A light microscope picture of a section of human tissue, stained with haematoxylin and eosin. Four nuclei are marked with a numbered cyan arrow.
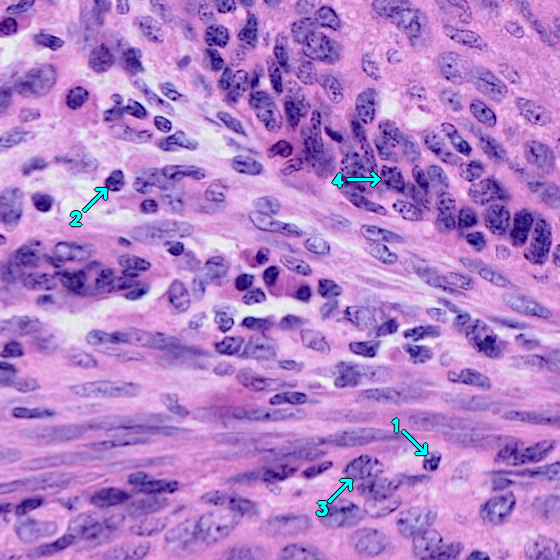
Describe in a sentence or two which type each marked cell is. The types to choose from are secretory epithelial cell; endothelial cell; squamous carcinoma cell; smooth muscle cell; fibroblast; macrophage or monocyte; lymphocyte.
Cells 1 and 2 are lymphocytes. Cells 3 and 4 are squamous carcinoma cells.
